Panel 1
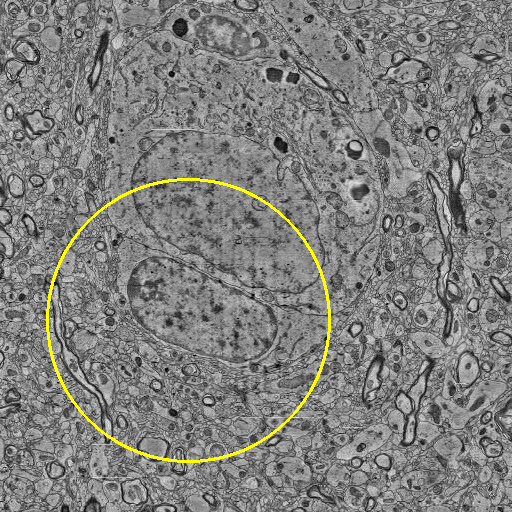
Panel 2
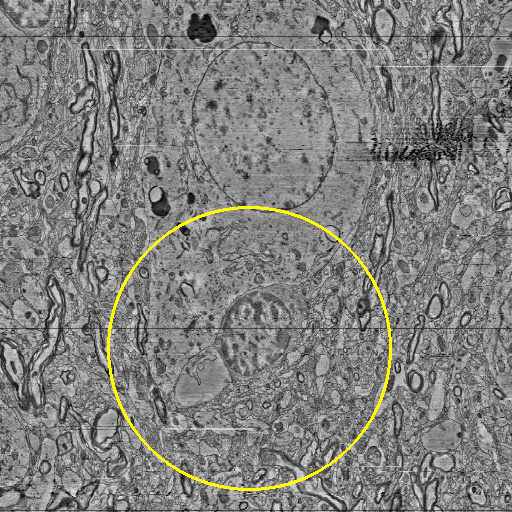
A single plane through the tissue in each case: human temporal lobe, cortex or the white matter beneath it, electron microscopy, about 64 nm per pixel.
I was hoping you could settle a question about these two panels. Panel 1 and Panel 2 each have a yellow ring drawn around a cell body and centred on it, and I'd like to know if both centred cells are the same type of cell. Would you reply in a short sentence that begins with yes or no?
No, they are two types of cell.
